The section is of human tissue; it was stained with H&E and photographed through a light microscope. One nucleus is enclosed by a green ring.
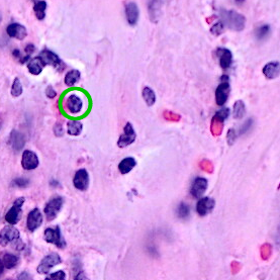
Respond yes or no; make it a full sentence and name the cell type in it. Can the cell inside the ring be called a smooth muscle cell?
No, rather than being a smooth muscle cell, the cell inside the ring is a lymphocyte.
